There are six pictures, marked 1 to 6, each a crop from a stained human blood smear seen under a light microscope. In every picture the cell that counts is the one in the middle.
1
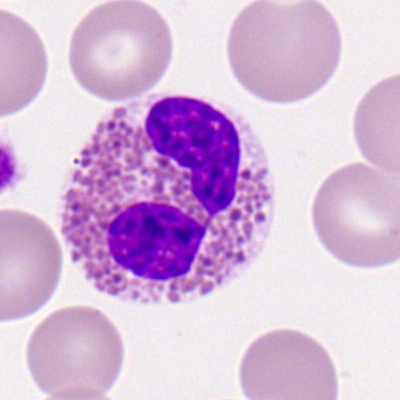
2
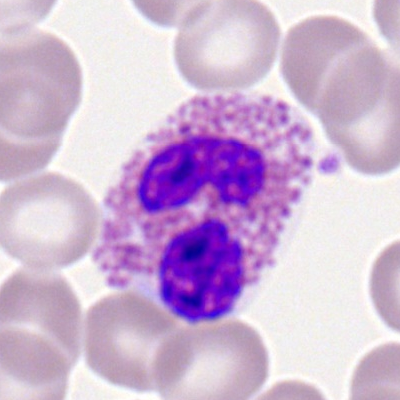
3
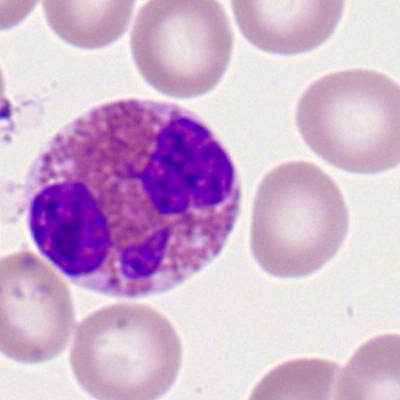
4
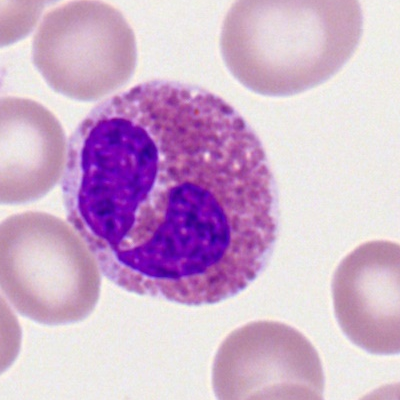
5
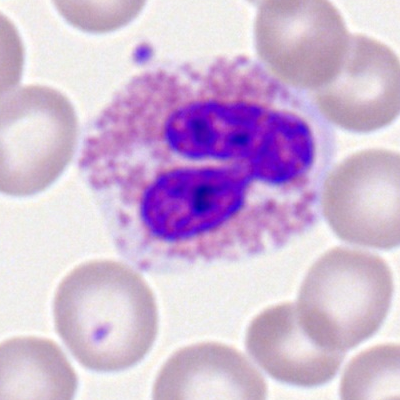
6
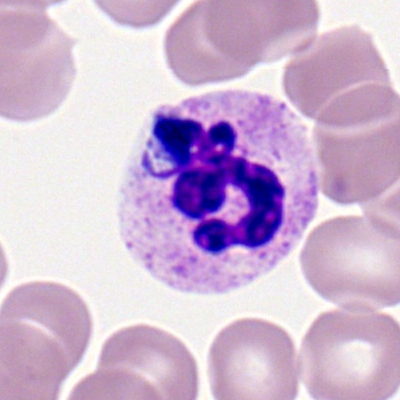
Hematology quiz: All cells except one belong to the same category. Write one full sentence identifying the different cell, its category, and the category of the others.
Shown in crop 6 is a segmented neutrophil, in contrast to the eosinophils of all the other crops.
